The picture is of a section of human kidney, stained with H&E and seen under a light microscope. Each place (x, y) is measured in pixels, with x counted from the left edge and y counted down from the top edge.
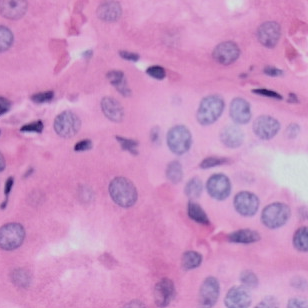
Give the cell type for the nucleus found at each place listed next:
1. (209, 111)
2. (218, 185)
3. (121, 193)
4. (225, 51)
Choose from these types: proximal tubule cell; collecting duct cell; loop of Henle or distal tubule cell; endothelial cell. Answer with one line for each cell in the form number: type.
1: collecting duct cell
2: collecting duct cell
3: proximal tubule cell
4: proximal tubule cell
